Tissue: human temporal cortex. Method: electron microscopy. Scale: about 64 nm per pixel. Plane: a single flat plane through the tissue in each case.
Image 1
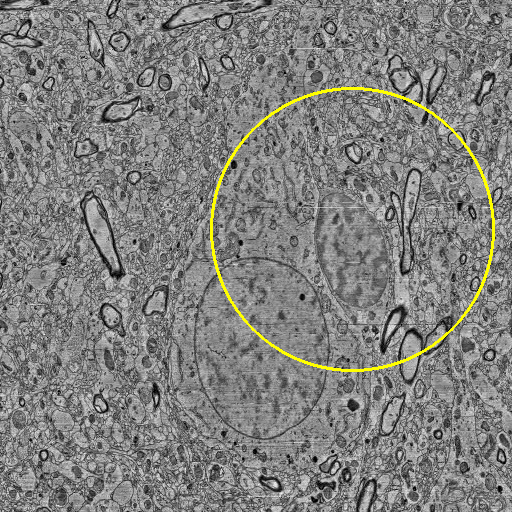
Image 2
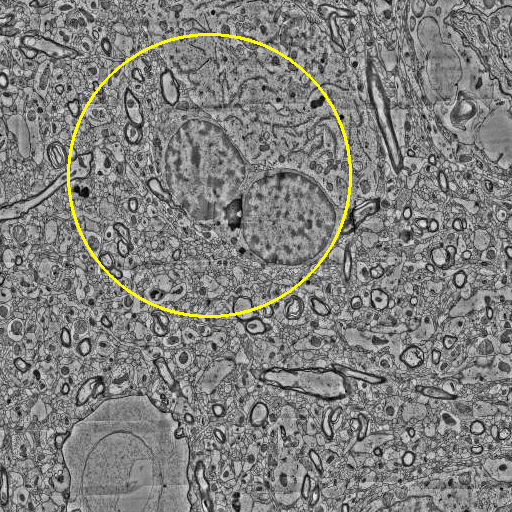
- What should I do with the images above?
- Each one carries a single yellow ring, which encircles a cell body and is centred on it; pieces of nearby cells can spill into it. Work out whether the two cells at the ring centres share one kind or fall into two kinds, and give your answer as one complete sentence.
The ring-centre cells of Image 1 and Image 2 share one kind.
